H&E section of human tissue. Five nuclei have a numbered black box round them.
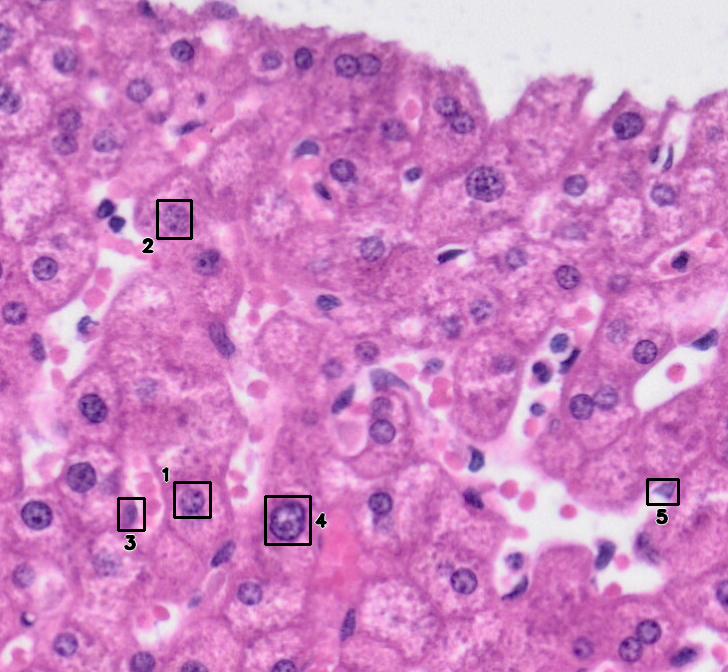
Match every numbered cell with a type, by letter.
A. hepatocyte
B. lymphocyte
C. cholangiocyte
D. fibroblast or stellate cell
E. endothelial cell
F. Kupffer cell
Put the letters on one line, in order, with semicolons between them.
A; A; F; A; E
